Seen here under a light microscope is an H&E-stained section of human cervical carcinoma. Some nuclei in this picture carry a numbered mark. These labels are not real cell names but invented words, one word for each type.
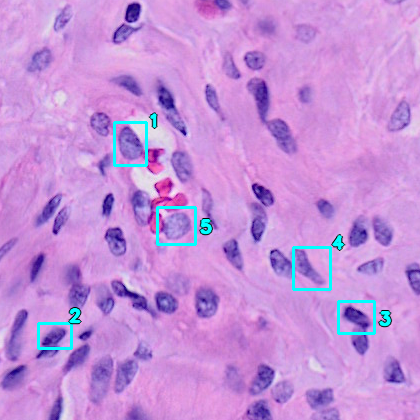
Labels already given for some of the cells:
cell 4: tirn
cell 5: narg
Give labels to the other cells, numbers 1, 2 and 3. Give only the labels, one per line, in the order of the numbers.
narg
tirn
tirn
